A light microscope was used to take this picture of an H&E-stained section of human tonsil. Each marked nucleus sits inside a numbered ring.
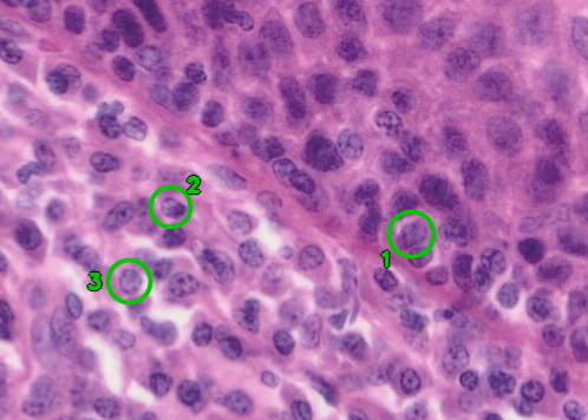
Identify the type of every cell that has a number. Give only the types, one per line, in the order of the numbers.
squamous epithelial cell
plasma cell
plasma cell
